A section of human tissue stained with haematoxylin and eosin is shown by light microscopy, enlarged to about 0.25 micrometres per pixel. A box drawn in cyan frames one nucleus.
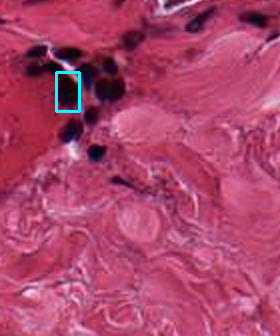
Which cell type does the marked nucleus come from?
thyroid follicular cell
